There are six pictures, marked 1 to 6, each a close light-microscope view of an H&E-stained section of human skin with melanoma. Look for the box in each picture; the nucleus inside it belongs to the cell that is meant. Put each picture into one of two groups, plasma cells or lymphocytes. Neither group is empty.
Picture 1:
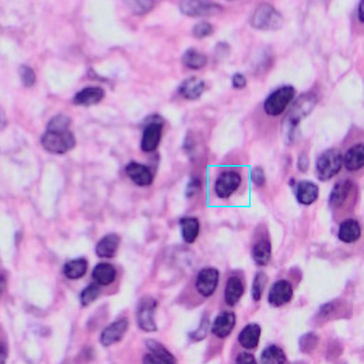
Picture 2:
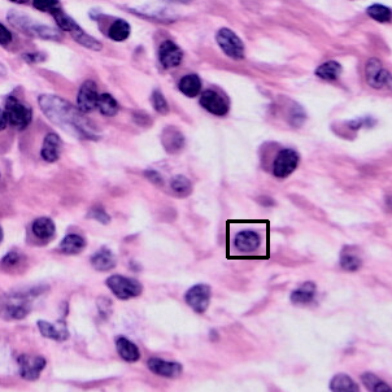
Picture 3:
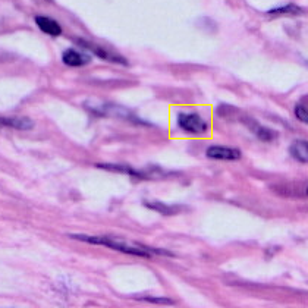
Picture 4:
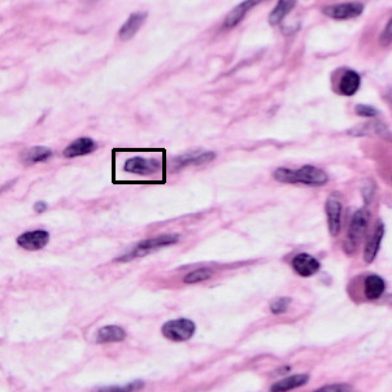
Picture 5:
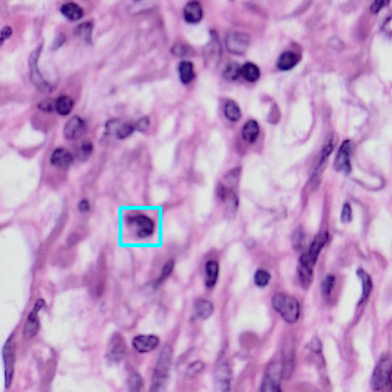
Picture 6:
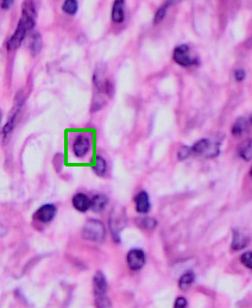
1: plasma cell
2: plasma cell
3: lymphocyte
4: lymphocyte
5: plasma cell
6: plasma cell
